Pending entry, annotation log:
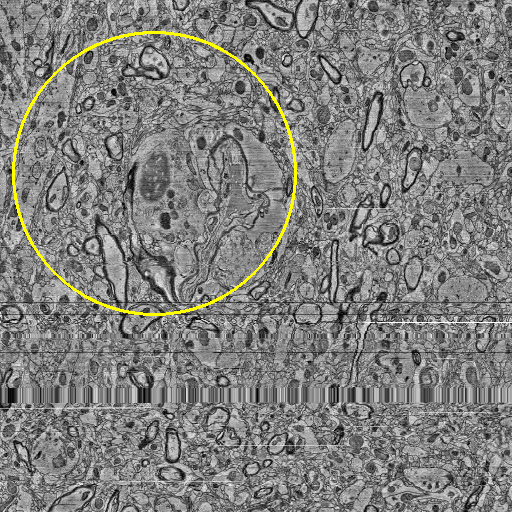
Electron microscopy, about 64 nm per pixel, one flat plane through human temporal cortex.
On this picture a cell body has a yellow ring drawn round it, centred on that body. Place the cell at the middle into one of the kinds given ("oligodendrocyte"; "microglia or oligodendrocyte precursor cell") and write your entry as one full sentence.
The cell body at the middle of the yellow ring belongs to an oligodendrocyte.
